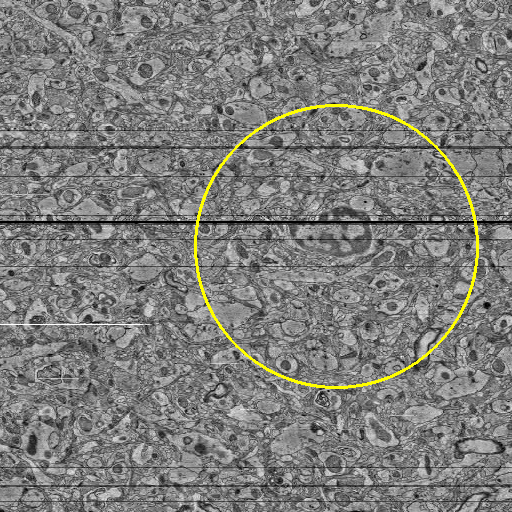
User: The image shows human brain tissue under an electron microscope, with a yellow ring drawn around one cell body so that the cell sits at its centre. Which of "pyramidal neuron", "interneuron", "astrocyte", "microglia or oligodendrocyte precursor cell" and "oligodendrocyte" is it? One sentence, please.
At the centre of the ring sits a microglial cell or oligodendrocyte precursor cell.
